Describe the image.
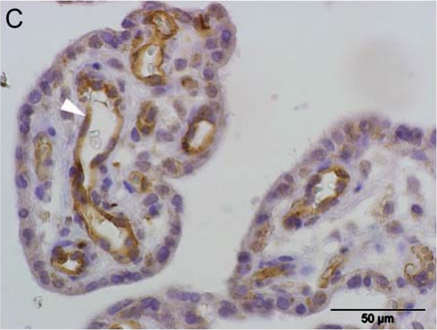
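Chorionic villi are shown with an outer trophoblast covering and a stromal core containing many capillaries. The capillaries are lined by thin, flattened endothelial cells whose brown-stained lining outlines round and elongated lumina. The trophoblast layer at the villus surface is only lightly stained, with blue nuclei aligned along the edge. Between the vessels lies loose stroma with scattered pale nuclei.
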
